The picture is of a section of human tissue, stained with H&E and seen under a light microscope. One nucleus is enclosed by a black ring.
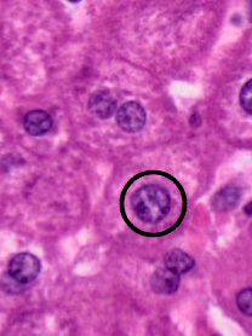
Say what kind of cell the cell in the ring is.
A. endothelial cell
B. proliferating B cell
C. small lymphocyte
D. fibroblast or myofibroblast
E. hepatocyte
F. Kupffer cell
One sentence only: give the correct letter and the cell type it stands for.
In this case the cell in the ring is a hepatocyte, so option E is correct.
